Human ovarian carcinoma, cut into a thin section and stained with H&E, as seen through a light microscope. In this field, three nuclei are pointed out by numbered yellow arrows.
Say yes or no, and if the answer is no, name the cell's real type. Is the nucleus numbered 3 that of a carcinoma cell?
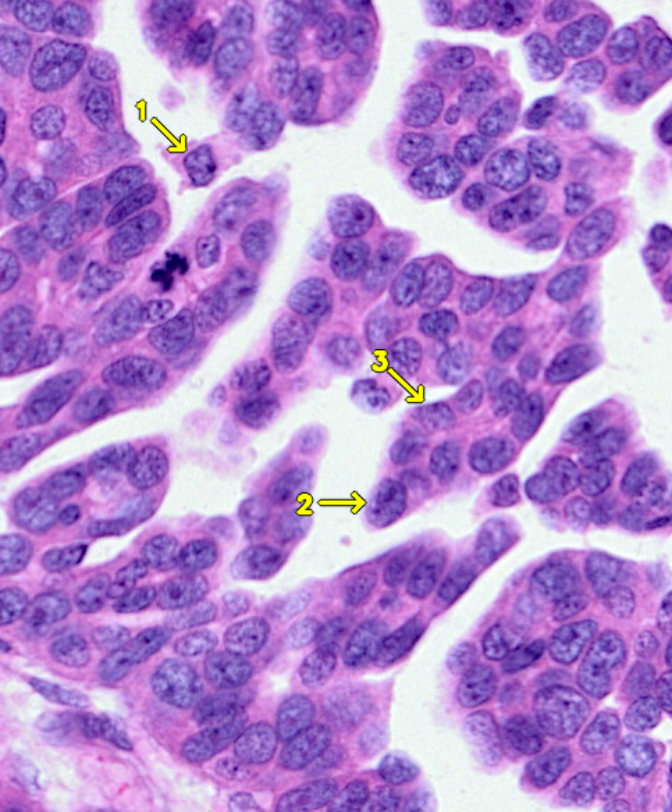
Yes.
